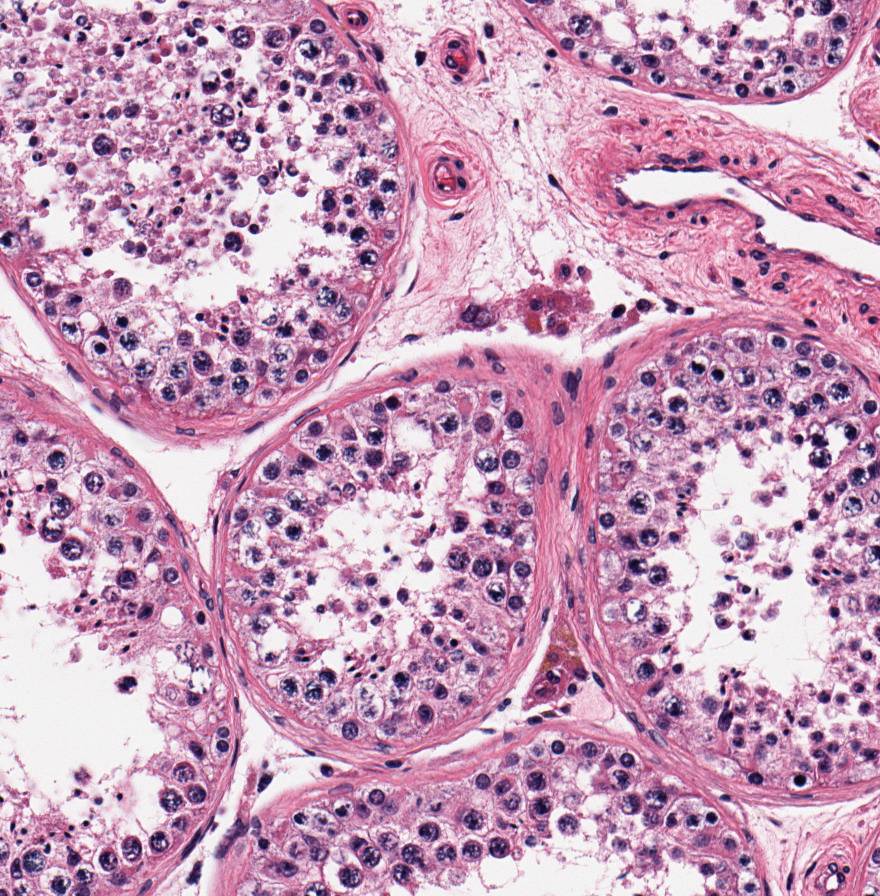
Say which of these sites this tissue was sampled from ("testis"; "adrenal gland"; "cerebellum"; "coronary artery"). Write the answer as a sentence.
The site this tissue was sampled from is the testis.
